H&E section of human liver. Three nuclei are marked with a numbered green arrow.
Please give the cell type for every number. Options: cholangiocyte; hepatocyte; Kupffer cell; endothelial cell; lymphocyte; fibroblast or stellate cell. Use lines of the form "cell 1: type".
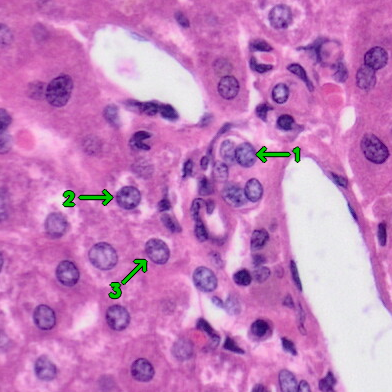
cell 1: cholangiocyte
cell 2: hepatocyte
cell 3: hepatocyte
